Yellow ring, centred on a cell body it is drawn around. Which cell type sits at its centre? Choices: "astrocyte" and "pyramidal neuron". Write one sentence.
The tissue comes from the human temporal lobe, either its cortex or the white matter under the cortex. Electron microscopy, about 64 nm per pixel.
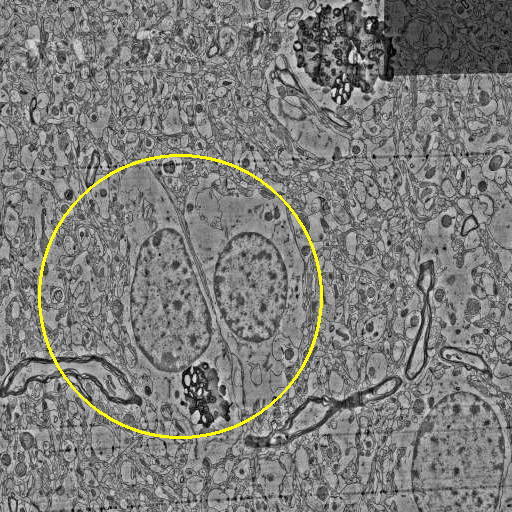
At the centre of the ring sits an astrocyte.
